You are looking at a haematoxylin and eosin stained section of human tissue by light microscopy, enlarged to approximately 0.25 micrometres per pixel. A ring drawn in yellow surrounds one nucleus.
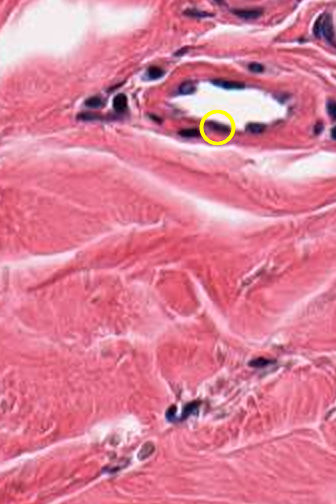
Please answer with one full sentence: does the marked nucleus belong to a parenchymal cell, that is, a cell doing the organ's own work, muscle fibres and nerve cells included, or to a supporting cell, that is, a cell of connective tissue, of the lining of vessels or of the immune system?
The marked nucleus is seen within a supporting cell.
